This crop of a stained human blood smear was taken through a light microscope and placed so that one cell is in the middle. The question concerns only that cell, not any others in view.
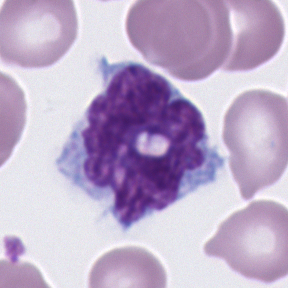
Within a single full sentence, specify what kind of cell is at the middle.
The cell centered in this field of view is a monocyte.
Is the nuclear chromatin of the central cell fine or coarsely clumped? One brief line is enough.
Thanks for asking; the chromatin is coarsely clumped.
